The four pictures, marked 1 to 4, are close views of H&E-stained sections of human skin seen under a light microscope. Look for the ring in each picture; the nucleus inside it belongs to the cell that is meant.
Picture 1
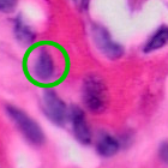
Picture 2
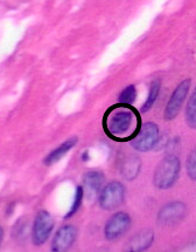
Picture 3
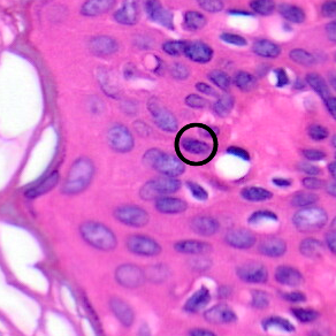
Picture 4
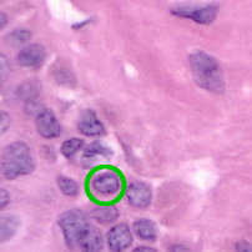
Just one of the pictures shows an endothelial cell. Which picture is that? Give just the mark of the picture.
1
